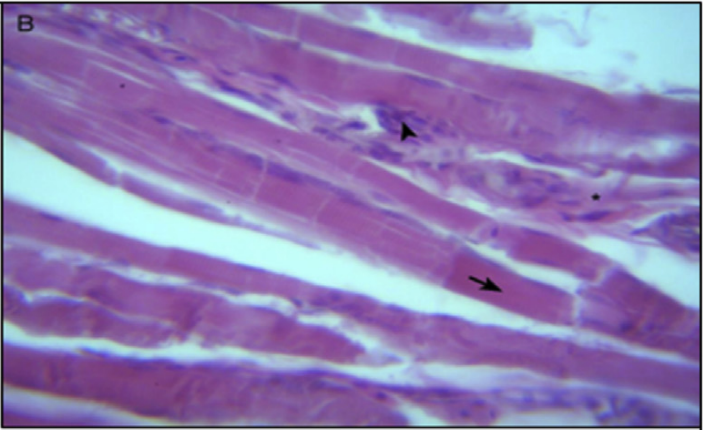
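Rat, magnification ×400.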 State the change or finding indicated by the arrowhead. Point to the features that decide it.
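Endomysial inflammation. A cluster of small, dark purple nuclei lies in the space between muscle fibers. The cluster of nuclei is denser than the scattered nuclei along the fibers elsewhere.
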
